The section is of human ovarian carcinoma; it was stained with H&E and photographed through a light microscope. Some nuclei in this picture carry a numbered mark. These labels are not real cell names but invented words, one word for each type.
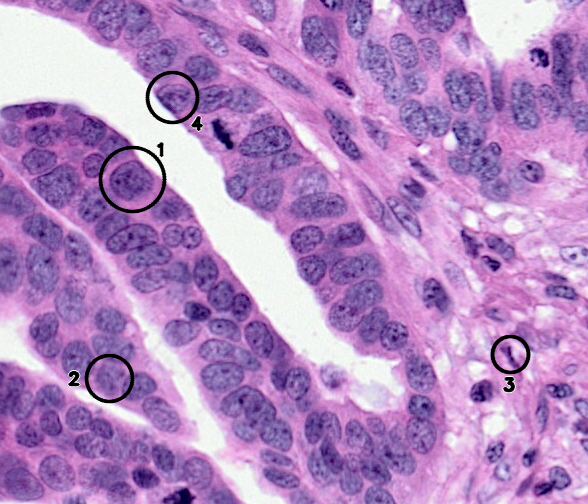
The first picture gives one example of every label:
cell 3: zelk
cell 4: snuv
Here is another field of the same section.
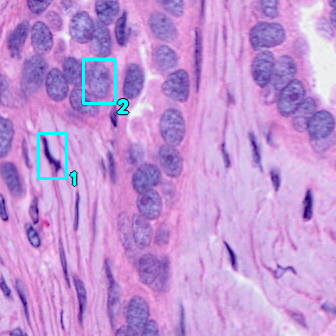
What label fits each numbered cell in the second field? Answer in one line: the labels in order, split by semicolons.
zelk; snuv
